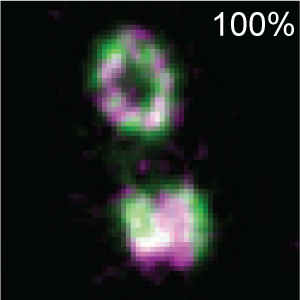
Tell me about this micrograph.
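Two centrioles are seen at very high resolution, one above the other. The upper one is viewed end-on as a hollow ring of beaded green and magenta puncta, while the lower one is seen from the side as a compact rectangular barrel where green and magenta largely overlap.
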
